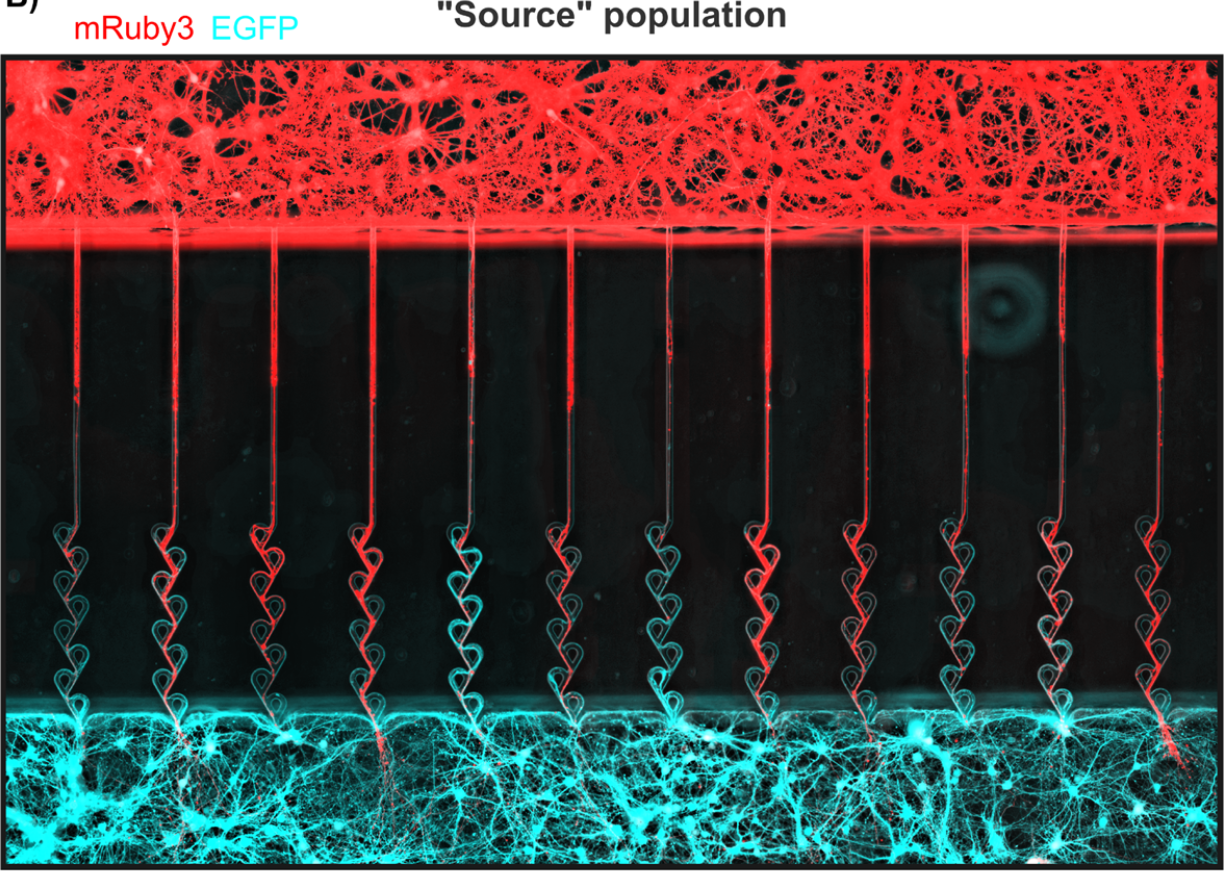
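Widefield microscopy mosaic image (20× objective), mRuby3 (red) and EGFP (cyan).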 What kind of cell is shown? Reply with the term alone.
Neuronal populations.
